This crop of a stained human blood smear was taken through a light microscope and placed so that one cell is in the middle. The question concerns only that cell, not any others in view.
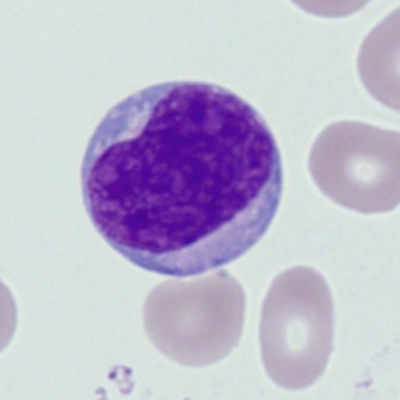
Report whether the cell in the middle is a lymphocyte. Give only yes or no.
no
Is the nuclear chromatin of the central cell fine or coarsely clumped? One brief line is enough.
The chromatin of this one is coarsely clumped.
